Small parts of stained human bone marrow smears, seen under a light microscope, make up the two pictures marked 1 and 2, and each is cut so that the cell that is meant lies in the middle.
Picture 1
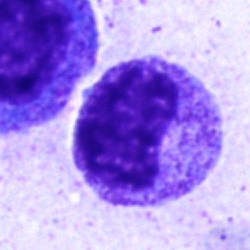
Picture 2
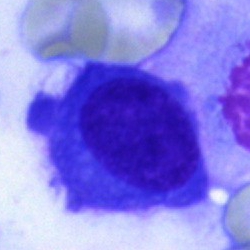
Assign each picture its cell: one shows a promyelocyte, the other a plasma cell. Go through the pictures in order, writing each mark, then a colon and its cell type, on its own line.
1: promyelocyte
2: plasma cell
